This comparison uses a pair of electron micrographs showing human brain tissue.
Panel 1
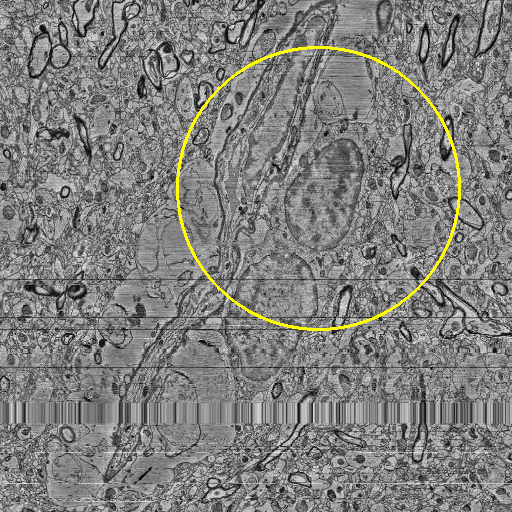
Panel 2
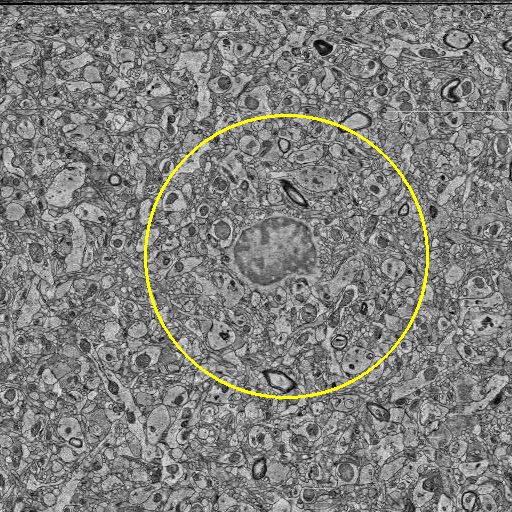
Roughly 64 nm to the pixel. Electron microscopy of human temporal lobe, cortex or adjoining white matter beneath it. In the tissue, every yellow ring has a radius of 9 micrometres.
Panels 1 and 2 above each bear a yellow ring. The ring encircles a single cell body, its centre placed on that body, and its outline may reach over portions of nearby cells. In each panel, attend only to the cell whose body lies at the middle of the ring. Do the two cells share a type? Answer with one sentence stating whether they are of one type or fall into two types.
In Panel 1 and Panel 2, the cells at the centres of the rings are of one type.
